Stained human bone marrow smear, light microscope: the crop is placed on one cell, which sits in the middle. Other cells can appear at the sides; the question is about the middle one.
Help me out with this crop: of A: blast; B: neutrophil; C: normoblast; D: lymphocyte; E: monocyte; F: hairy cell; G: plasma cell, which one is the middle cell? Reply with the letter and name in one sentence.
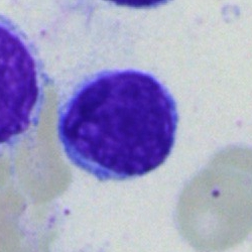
For this crop, option D is right, the centered cell being a lymphocyte.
